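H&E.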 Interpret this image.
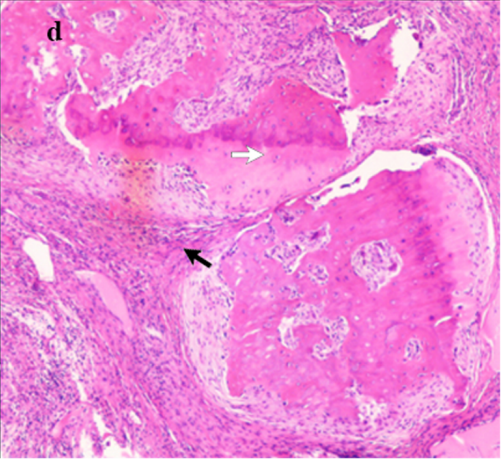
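This section shows nodules of osteochondral tissue set within a chronically inflamed fibrous stroma. The nodules are made of smooth, glassy pink matrix in which scattered cells sit in small clear spaces like cartilage lacunae, and parts of their edges are rimmed by a purple-tinged, more cellular zone. Between and around the nodules lies loose connective tissue crowded with small cells with dark, round nuclei, in keeping with chronic inflammatory infiltration. Paler pink, amorphous material lies among this stroma, consistent with fibrin. A few small clear spaces and slit-like vessels are scattered through the tissue.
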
